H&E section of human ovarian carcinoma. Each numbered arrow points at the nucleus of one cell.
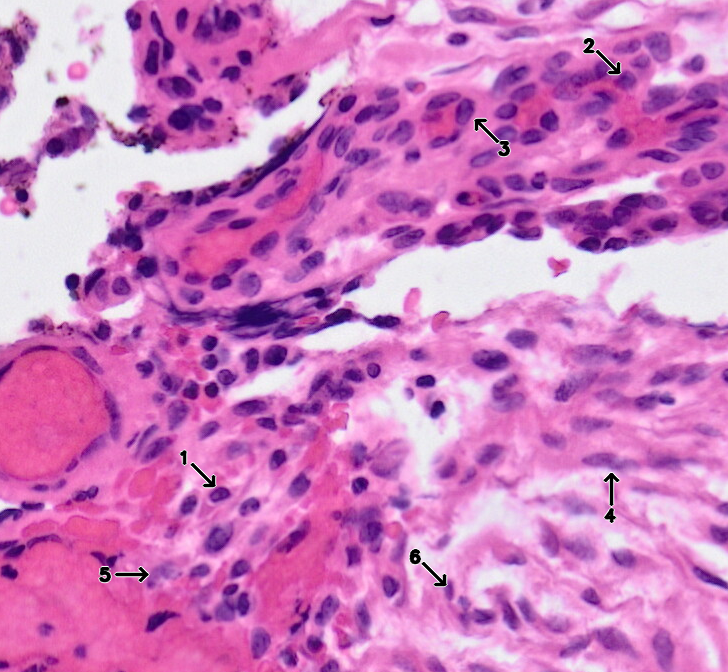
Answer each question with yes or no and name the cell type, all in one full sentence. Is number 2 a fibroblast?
No, cell 2, which is an endothelial cell, is not a fibroblast.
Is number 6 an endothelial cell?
No, an endothelial cell is not what cell 6 is; it is a fibroblast.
